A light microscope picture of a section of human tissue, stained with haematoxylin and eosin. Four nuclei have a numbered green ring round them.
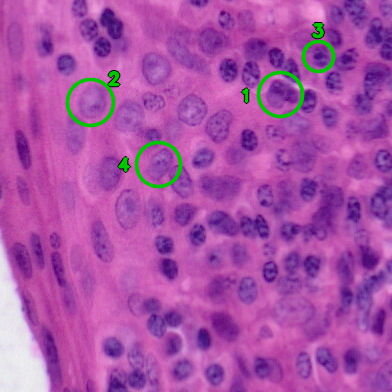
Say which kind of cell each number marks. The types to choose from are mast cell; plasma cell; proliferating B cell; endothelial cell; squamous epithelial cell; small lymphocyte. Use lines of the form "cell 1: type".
cell 1: squamous epithelial cell
cell 2: squamous epithelial cell
cell 3: plasma cell
cell 4: squamous epithelial cell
